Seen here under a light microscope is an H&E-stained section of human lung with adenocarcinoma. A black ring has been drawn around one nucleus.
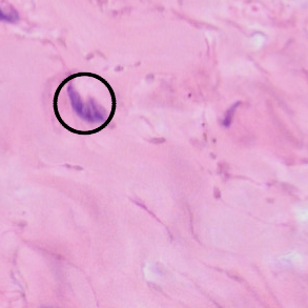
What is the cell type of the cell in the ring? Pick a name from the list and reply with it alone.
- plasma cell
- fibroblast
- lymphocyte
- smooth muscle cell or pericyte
fibroblast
